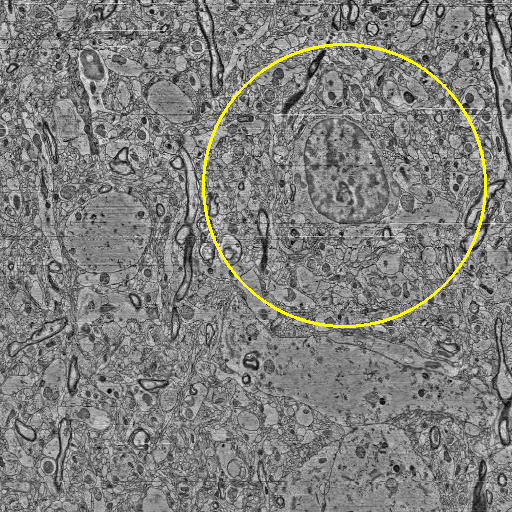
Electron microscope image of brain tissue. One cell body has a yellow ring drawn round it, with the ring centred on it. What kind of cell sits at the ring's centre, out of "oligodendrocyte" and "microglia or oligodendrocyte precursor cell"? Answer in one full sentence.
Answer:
It is an oligodendrocyte whose cell body sits at the centre of the yellow ring.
